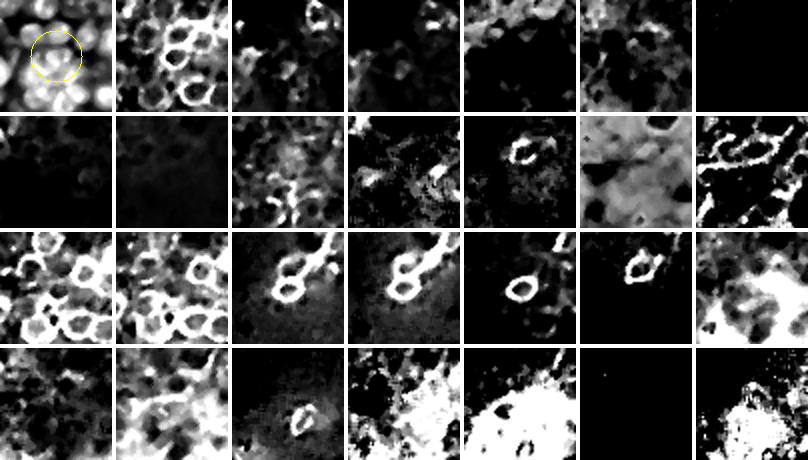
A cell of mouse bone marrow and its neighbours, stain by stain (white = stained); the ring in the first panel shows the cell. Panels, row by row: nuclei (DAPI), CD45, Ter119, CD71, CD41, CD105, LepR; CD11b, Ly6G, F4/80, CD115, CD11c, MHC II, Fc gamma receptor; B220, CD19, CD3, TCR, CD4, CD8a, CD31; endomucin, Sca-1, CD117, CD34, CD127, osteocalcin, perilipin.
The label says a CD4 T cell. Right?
Right.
